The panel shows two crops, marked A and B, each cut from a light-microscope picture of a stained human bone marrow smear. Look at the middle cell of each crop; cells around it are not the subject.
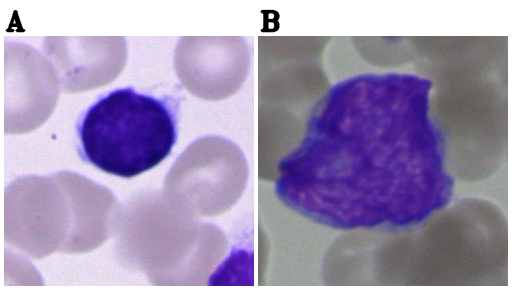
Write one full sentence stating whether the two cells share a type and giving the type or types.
No, mark crop A as a lymphocyte and crop B as a blast.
